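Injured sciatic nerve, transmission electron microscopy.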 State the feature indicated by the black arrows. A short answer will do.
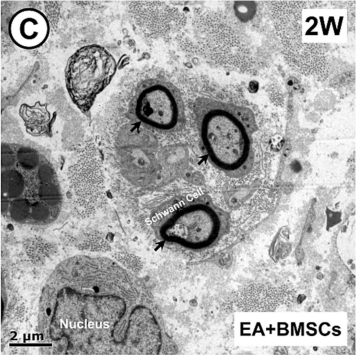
Thin, small-diameter myelin sheaths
